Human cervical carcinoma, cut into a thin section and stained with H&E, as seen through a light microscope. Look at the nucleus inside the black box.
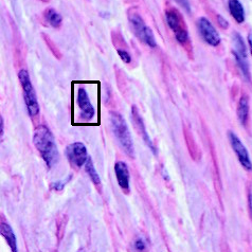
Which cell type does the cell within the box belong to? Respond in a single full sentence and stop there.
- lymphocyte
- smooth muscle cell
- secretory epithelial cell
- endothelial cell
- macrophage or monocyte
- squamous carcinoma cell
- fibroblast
For the purposes of cell typing, the cell within the box is categorized as a lymphocyte.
